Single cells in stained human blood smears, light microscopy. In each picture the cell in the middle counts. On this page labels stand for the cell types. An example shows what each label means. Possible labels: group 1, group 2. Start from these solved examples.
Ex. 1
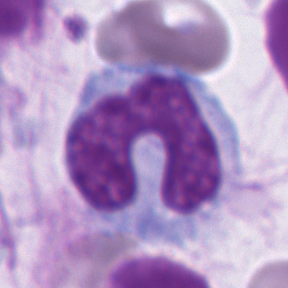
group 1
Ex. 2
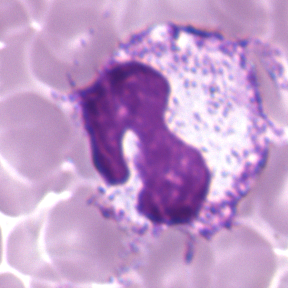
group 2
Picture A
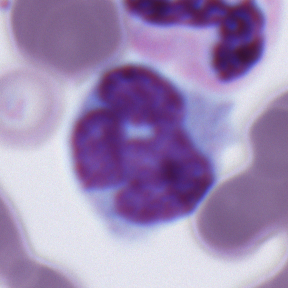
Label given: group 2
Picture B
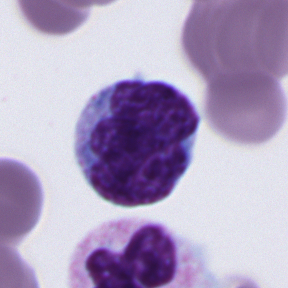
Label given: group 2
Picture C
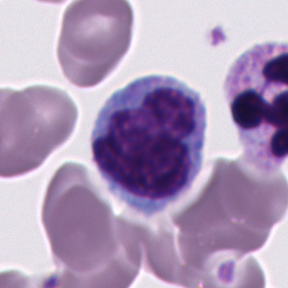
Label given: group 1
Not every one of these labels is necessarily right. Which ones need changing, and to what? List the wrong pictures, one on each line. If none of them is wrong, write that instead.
A should be group 1, not group 2
B should be group 1, not group 2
